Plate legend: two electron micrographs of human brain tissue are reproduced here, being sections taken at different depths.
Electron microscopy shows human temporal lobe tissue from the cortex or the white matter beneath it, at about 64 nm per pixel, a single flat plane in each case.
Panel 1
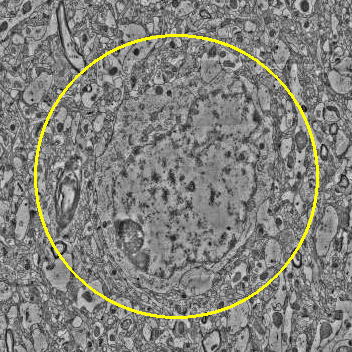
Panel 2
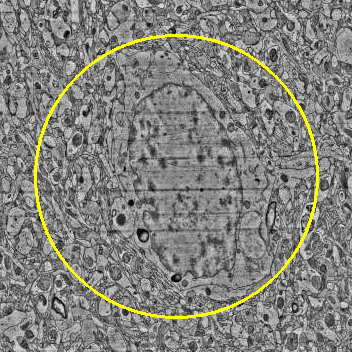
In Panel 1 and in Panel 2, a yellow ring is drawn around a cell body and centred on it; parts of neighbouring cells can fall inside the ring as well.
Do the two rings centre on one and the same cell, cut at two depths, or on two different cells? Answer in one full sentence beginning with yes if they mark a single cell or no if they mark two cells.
No, a single cell is not marked twice here; two cells are marked.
